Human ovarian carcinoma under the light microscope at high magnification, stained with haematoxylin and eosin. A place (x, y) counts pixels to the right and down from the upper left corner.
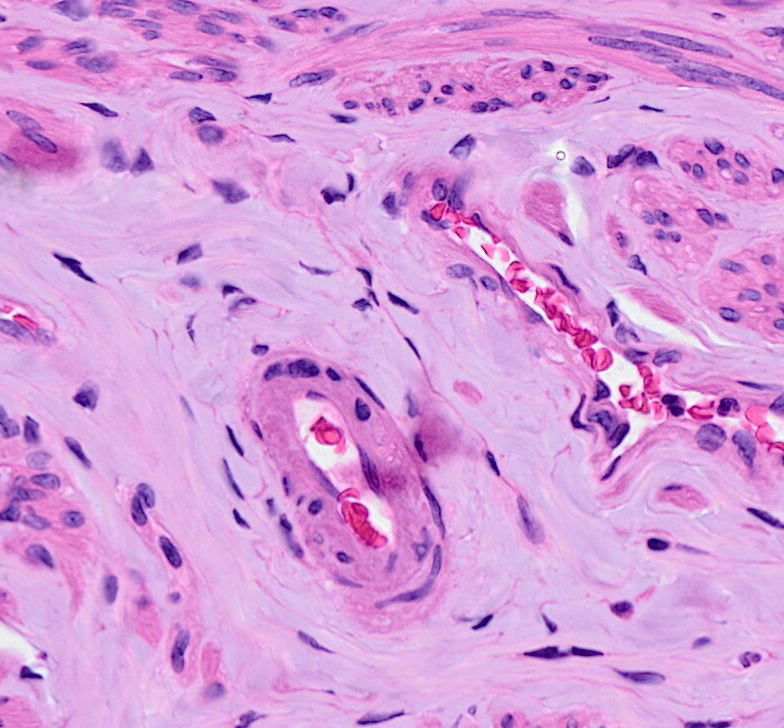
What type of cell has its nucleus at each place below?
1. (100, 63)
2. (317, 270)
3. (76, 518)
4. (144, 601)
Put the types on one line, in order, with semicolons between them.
smooth muscle cell; fibroblast; smooth muscle cell; smooth muscle cell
